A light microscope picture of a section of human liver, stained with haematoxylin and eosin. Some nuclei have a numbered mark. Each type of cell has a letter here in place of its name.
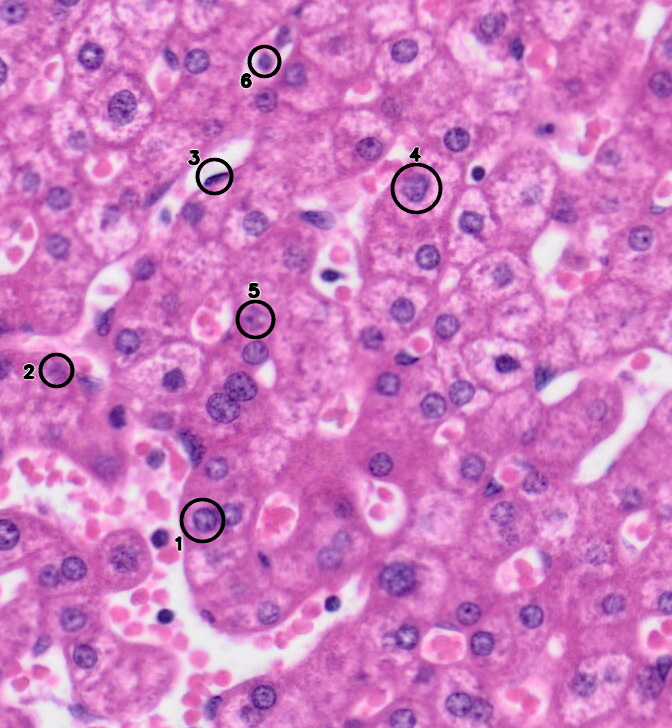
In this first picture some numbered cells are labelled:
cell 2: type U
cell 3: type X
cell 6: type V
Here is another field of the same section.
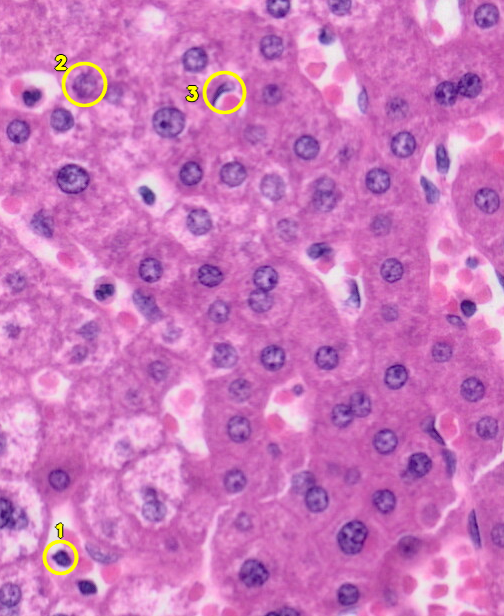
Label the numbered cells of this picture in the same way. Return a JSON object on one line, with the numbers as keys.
{"1": "type V", "2": "type U", "3": "type X"}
